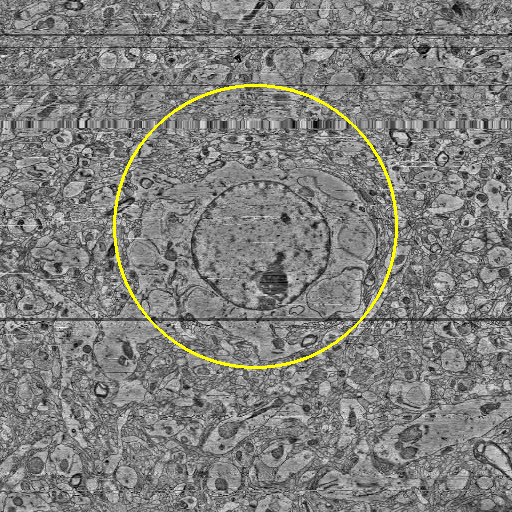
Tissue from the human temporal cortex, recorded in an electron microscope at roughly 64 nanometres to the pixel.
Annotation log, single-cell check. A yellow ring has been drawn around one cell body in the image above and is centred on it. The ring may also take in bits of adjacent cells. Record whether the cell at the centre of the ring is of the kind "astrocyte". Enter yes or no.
yes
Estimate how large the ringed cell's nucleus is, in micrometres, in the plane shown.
The ringed cell's nucleus is about 9 micrometres across in this plane.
